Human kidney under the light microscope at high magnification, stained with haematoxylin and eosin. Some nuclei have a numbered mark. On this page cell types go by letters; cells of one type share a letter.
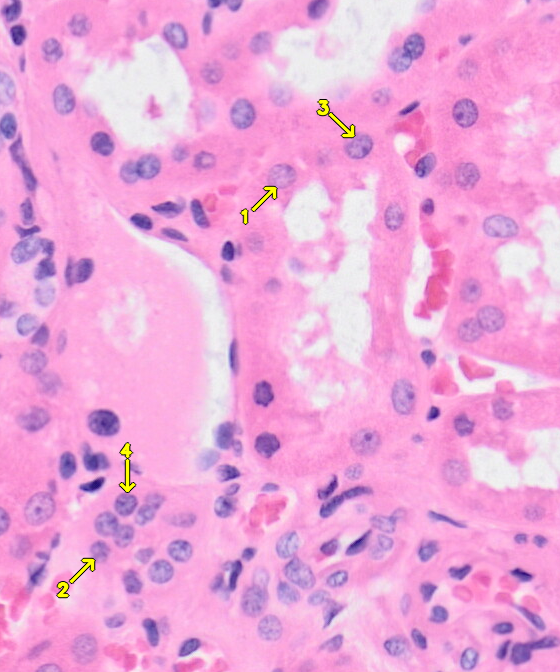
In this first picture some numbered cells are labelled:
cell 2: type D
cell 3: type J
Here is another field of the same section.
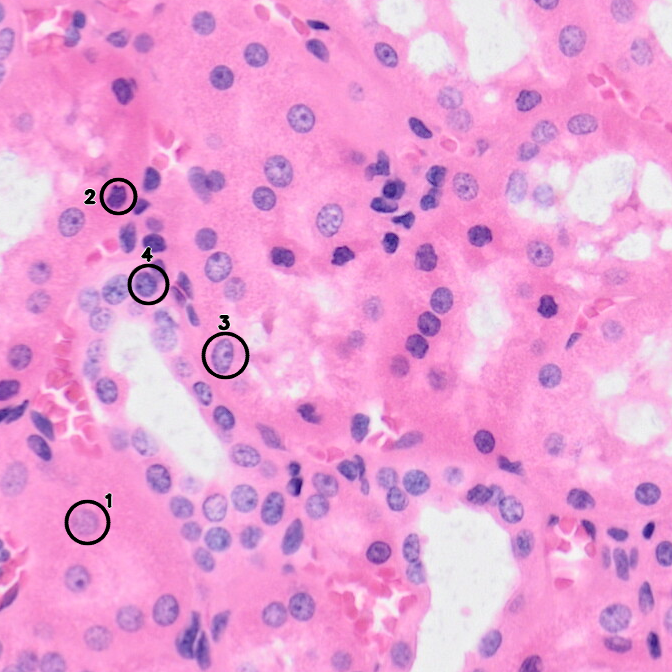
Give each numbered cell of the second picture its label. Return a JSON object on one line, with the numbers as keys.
{"1": "type J", "2": "type J", "3": "type J", "4": "type D"}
